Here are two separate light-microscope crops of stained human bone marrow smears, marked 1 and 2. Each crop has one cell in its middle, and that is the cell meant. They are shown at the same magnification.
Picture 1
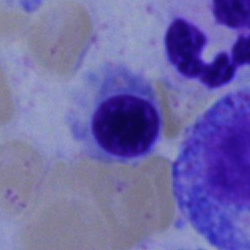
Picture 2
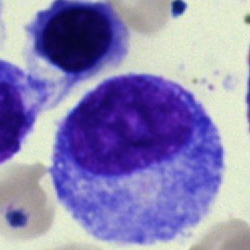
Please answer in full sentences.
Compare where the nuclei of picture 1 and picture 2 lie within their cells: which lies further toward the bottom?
In picture 1 the nucleus is shifted more toward the bottom.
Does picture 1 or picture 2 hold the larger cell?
Larger is the cell in picture 2, at roughly 4 times the area of the other.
